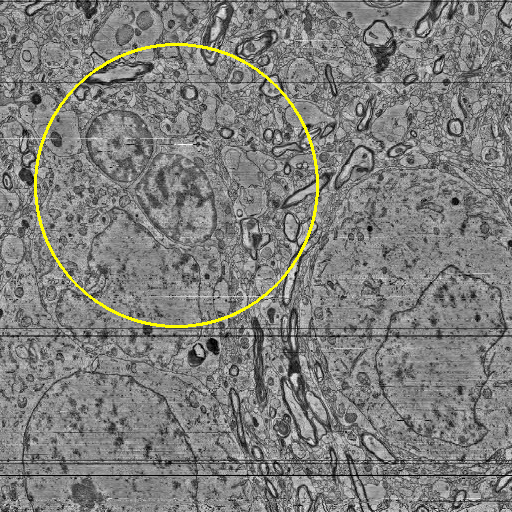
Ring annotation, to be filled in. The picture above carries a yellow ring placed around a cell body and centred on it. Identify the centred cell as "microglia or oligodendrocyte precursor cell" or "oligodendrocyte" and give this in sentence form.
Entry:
The cell in the middle of the ring is an oligodendrocyte.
